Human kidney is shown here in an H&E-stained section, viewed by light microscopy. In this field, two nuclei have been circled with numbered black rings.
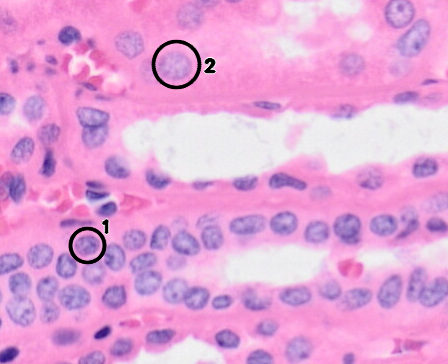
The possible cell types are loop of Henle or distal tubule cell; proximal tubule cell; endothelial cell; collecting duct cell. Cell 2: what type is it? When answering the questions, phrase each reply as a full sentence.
The cell tagged with 2 in this tissue section is a proximal tubule cell.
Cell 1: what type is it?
Nucleus 1 in this section belongs to a collecting duct cell.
